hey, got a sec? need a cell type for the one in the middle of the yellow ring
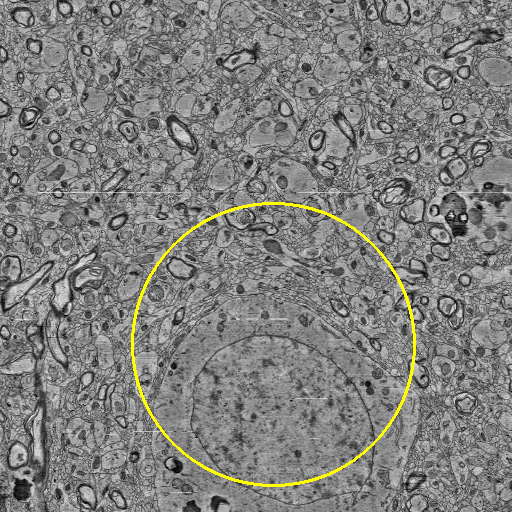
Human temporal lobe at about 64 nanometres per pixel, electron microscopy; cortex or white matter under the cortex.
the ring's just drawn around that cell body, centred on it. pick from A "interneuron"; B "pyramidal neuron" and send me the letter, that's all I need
B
